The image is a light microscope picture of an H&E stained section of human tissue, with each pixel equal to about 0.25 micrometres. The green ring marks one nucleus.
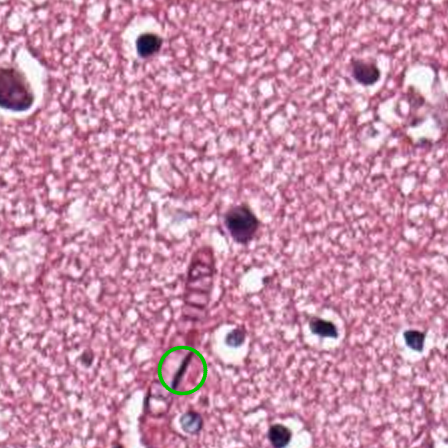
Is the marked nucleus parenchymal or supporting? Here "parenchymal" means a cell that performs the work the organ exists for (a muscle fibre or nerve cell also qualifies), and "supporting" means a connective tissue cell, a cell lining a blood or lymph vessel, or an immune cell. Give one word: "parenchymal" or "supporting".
supporting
